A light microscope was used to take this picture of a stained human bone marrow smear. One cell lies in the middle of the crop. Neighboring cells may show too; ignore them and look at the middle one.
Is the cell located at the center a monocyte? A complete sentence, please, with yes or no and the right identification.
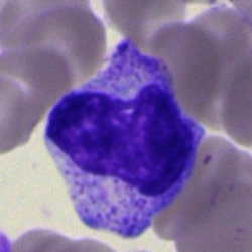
No, the central cell is not a monocyte, being instead a metamyelocyte.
